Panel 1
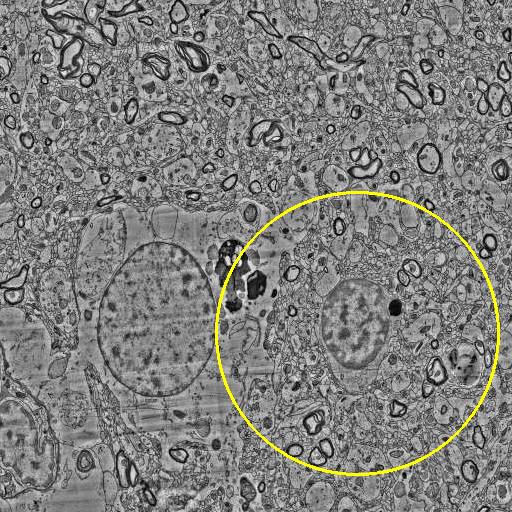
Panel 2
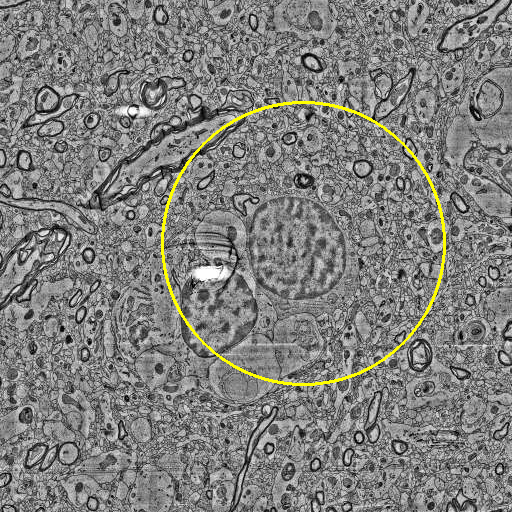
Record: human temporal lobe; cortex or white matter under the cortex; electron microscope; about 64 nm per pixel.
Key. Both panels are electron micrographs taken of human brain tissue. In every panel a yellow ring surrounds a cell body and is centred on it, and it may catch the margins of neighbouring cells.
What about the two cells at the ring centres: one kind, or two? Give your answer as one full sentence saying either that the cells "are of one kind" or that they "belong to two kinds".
Across Panels 1 and 2, the two cells at the ring centres are of one kind.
